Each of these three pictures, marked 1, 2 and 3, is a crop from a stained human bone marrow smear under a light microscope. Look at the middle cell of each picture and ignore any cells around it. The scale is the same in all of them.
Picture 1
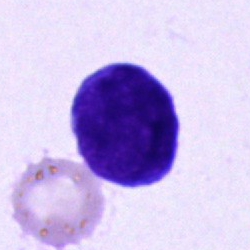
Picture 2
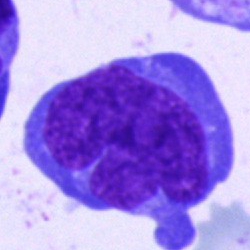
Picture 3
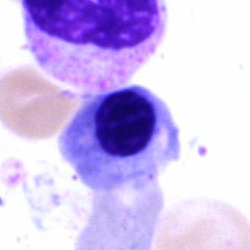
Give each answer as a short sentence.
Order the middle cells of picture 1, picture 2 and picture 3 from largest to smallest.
Going down, they run 2, 1, 3.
